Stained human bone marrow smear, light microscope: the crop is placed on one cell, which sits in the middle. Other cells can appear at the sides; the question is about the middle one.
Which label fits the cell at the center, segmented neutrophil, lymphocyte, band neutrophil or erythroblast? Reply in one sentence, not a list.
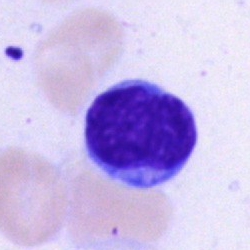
Centred in the crop is a lymphocyte.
